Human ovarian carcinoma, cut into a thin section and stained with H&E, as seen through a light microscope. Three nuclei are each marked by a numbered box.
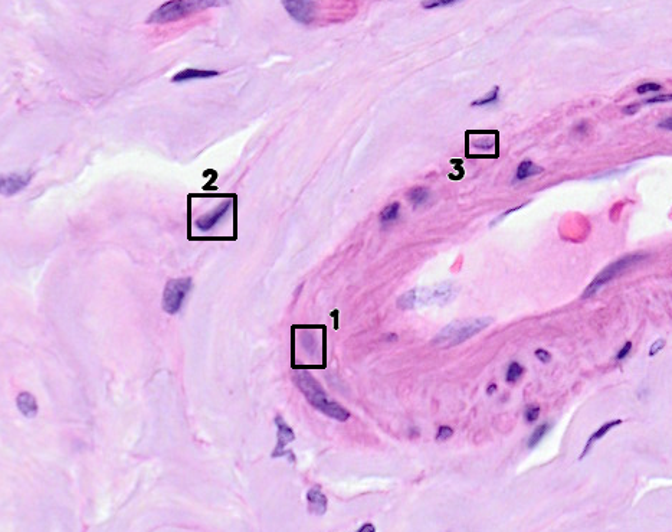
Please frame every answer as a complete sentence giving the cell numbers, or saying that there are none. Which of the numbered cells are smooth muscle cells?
The numbers 1 and 3 refer to cells that are smooth muscle cells.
